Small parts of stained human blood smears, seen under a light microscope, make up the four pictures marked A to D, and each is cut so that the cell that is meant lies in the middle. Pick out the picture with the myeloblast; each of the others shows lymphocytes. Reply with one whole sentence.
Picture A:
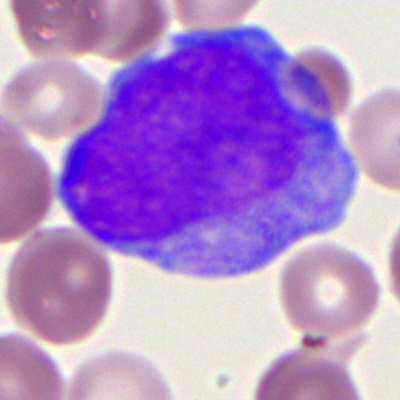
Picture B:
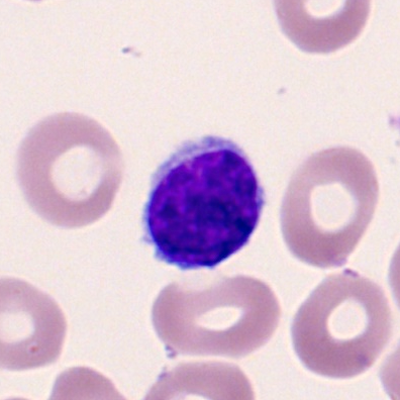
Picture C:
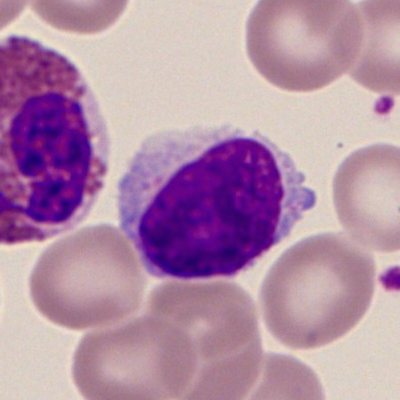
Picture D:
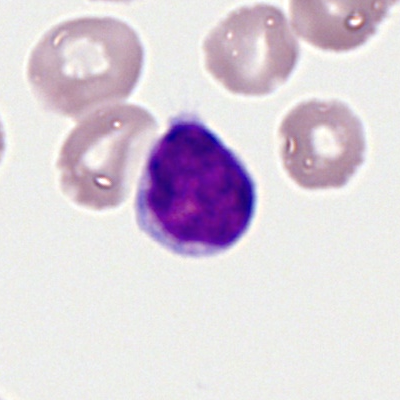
It is picture A that shows the myeloblast.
